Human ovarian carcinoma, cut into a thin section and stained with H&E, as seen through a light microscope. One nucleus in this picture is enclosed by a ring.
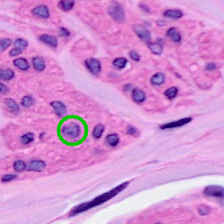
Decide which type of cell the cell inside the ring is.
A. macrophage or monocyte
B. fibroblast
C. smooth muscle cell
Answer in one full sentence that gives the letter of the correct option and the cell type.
Option C stands as correct, with the cell inside the ring being a smooth muscle cell.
